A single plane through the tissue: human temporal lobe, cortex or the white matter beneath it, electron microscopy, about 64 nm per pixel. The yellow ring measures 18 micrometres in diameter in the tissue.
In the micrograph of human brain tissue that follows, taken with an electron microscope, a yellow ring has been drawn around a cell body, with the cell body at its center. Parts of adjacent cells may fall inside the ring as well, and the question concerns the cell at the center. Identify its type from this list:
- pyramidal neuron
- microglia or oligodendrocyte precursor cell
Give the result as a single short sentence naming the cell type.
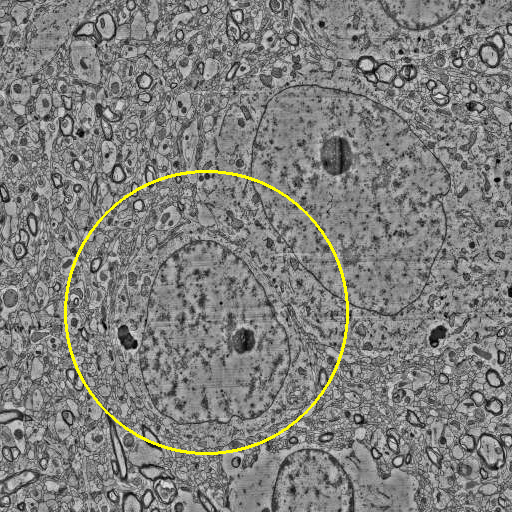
The ring is centered on a pyramidal neuron.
